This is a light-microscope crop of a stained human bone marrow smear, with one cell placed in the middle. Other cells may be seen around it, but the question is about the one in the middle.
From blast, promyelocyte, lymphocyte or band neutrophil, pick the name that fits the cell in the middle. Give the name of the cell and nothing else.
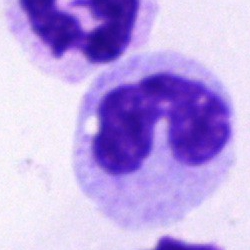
band neutrophil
